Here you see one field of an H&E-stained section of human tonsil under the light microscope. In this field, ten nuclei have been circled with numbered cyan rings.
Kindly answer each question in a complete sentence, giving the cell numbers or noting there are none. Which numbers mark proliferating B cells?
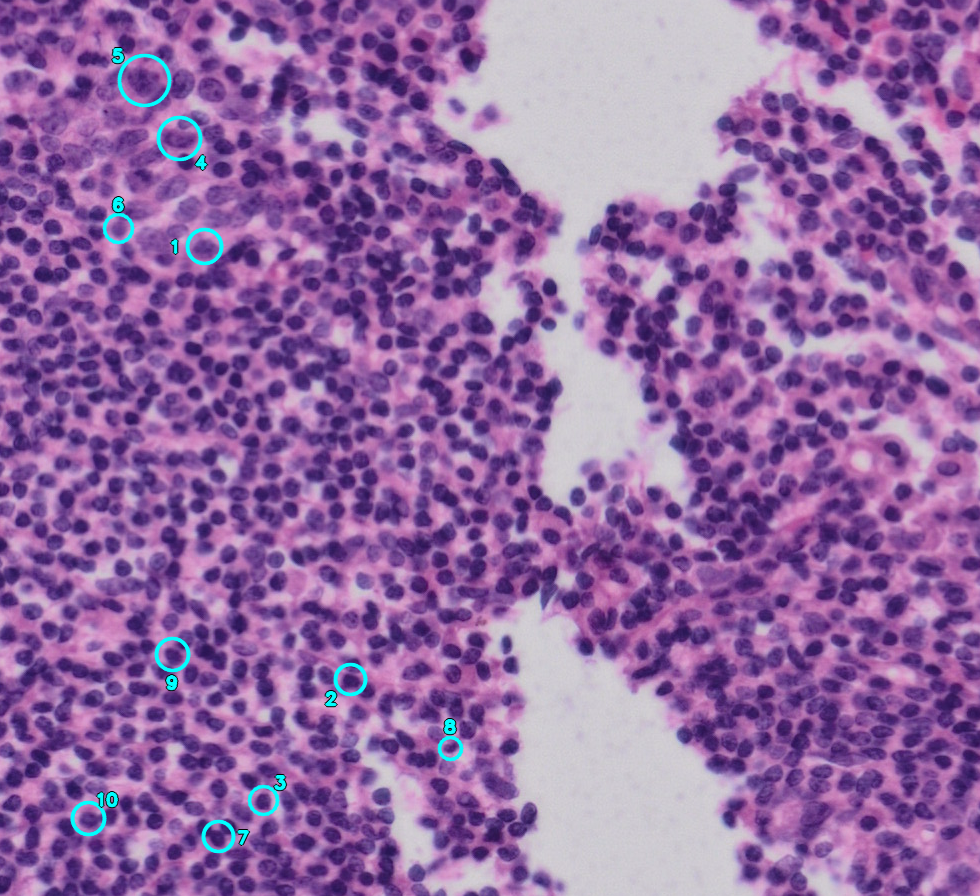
The cells assigned the numbers 1, 4, 5 and 6 are proliferating B cells.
